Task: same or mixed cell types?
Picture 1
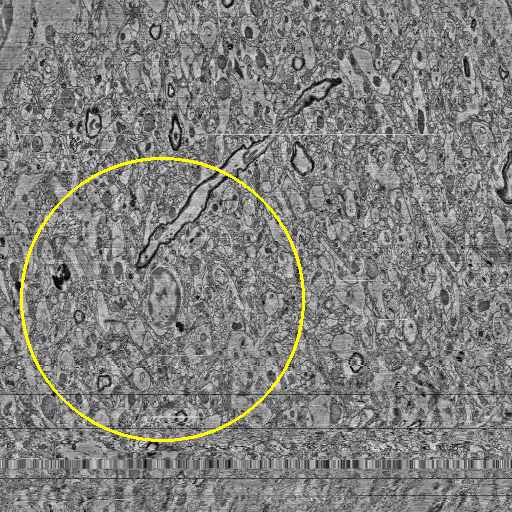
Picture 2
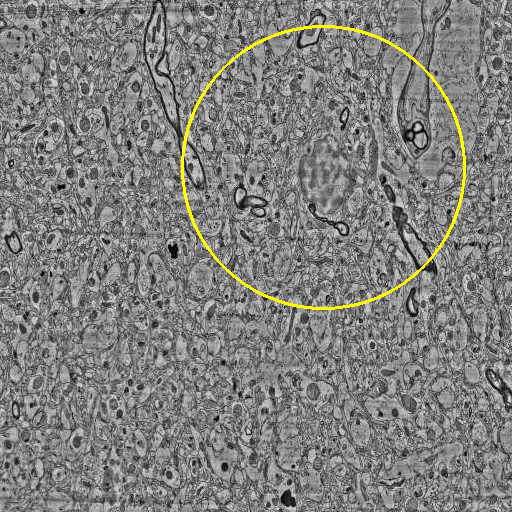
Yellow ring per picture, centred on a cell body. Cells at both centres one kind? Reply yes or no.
no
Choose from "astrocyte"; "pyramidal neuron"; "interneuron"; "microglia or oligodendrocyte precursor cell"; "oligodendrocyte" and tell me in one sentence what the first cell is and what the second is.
What the first ring is centred on is a microglial cell or oligodendrocyte precursor cell; what the second ring is centred on is an oligodendrocyte.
